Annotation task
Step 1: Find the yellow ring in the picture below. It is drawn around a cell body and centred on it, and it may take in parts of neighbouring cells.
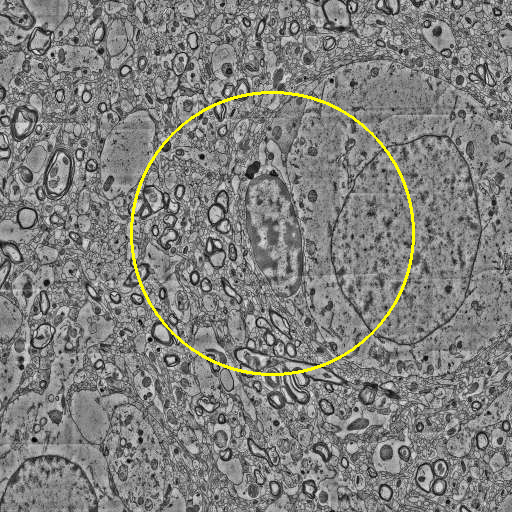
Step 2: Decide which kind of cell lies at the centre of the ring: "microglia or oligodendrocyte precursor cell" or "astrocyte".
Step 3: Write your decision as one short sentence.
The kind of cell at the ring's centre is a microglial cell or oligodendrocyte precursor cell.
